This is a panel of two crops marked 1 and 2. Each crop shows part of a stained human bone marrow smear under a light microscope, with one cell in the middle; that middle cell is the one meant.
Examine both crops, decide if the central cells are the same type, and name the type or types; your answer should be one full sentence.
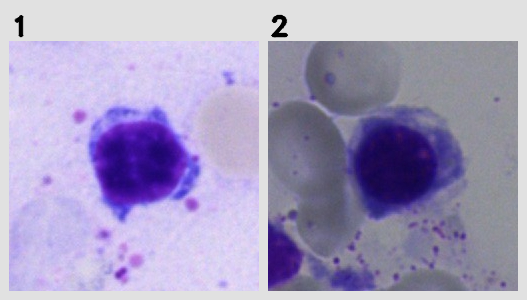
No, crop 1 shows a lymphocyte, and the cell in crop 2 is an erythroblast.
